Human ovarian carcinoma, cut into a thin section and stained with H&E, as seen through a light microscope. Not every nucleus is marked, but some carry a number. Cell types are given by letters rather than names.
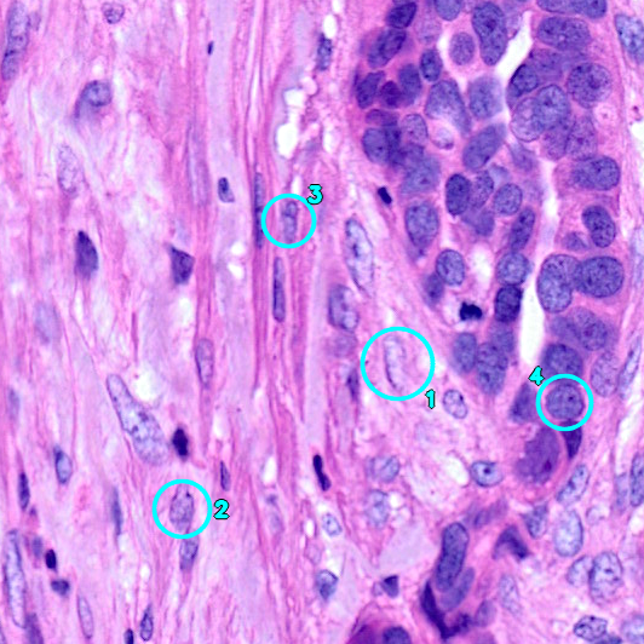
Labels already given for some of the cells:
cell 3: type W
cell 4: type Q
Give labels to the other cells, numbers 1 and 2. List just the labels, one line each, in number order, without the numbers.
type W
type W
